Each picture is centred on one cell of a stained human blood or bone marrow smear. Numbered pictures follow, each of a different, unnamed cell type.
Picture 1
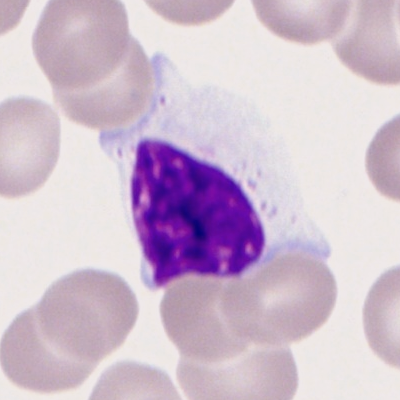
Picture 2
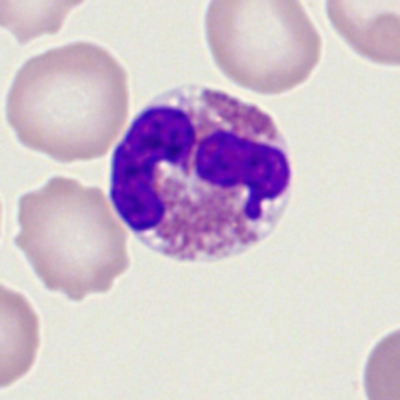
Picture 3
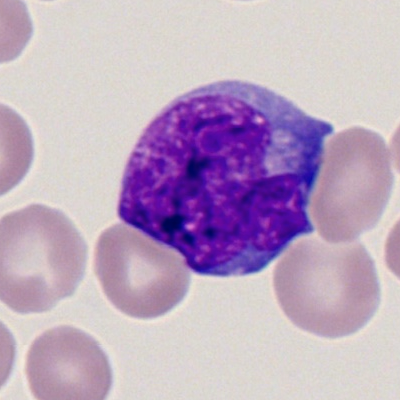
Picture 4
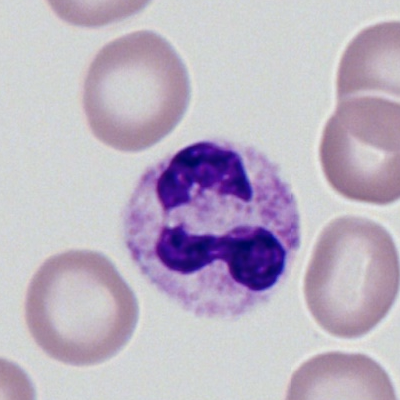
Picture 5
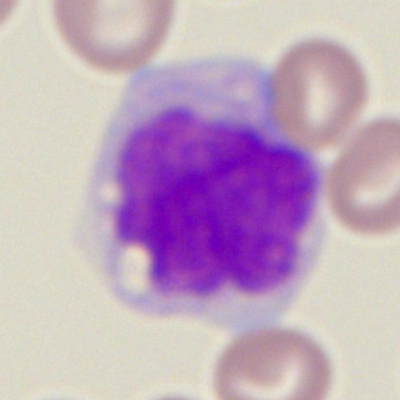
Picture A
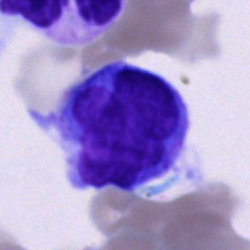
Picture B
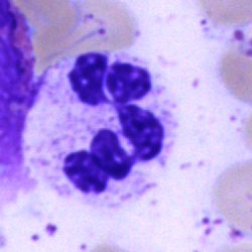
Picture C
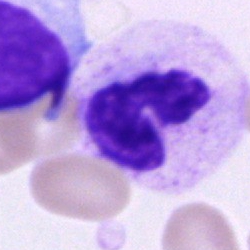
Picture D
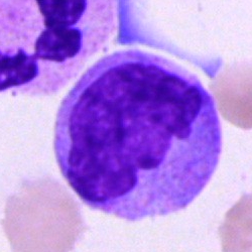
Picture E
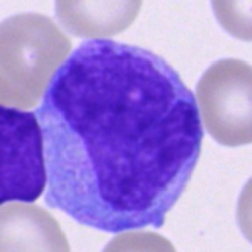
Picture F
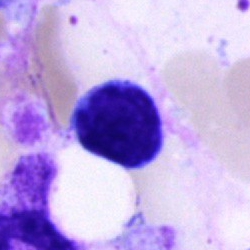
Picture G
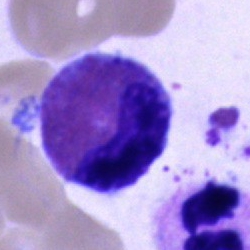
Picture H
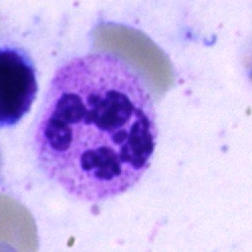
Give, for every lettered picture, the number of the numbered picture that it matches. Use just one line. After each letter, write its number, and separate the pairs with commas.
A 5, B 4, C 4, D 5, E 5, F 1, G 2, H 4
